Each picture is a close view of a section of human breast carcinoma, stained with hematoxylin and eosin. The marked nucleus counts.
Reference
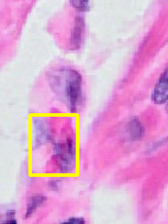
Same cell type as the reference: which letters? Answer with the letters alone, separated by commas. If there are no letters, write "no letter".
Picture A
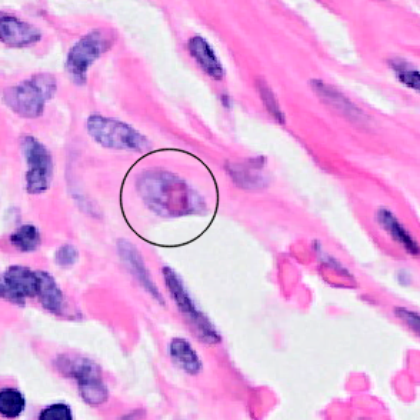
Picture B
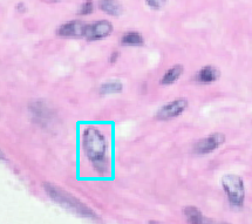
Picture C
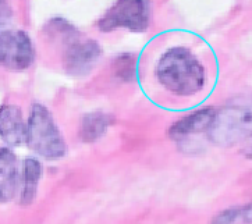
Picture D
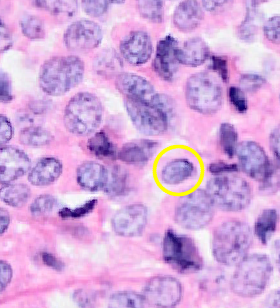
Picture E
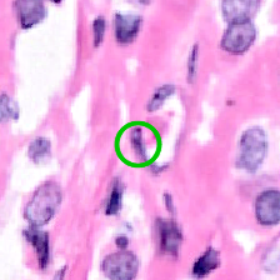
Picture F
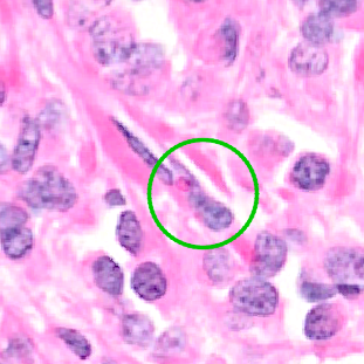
A, B, E, F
